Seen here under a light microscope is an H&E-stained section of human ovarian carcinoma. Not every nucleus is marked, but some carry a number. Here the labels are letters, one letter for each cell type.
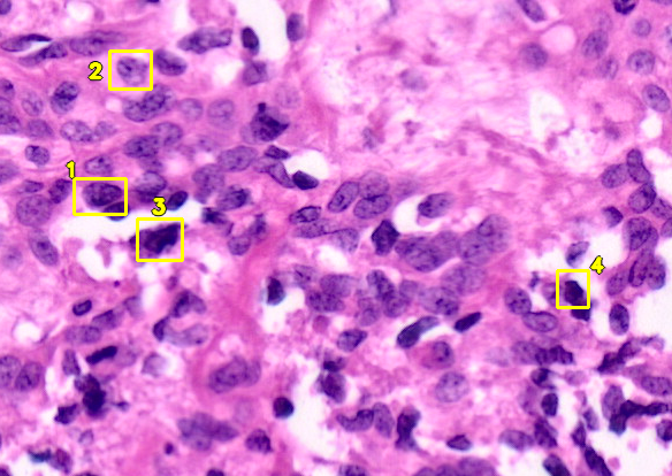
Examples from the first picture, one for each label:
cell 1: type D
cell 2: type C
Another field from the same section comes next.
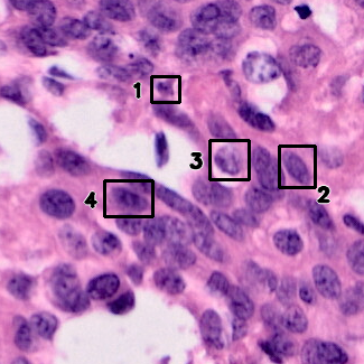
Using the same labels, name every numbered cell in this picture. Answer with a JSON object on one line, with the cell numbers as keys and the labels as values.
{"1": "type D", "2": "type D", "3": "type C", "4": "type D"}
